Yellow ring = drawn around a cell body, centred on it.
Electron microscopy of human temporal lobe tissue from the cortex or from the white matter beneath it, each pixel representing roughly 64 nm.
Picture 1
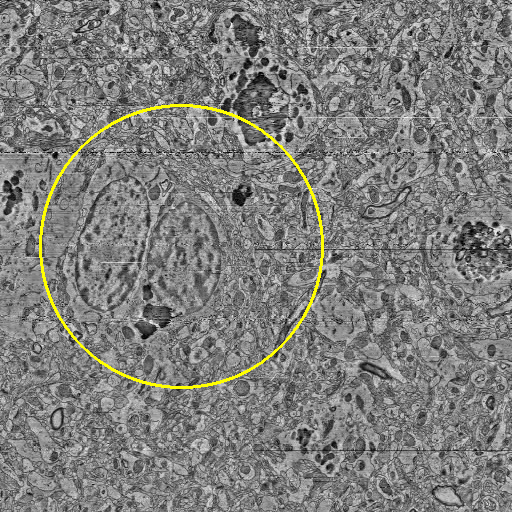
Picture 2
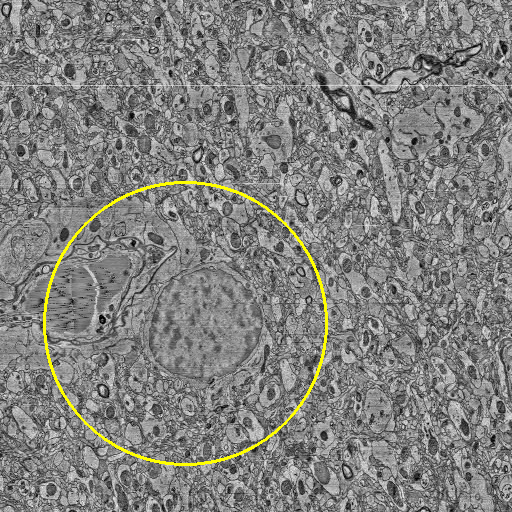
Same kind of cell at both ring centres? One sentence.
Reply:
Yes, they are the same kind of cell.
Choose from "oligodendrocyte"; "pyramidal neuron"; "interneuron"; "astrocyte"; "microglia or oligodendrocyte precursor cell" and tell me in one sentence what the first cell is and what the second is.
The cell in the first picture is an oligodendrocyte, and so is the one in the second.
